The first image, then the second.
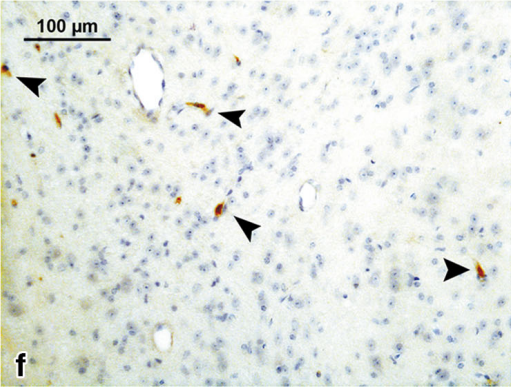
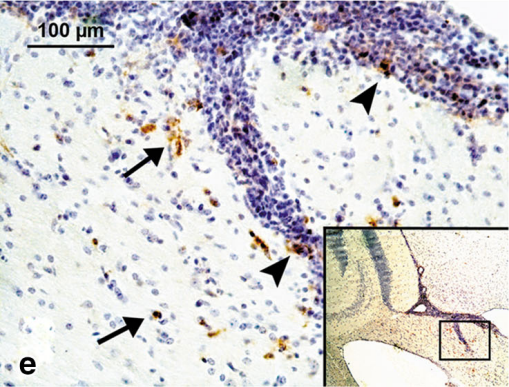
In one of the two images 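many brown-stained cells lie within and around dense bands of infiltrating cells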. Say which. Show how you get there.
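The second image. First image: only a handful of isolated brown cells scattered in otherwise uniform tissue, no dense cell bands. Second image: dense bands of small nuclei with many brown cells inside and beside them.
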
